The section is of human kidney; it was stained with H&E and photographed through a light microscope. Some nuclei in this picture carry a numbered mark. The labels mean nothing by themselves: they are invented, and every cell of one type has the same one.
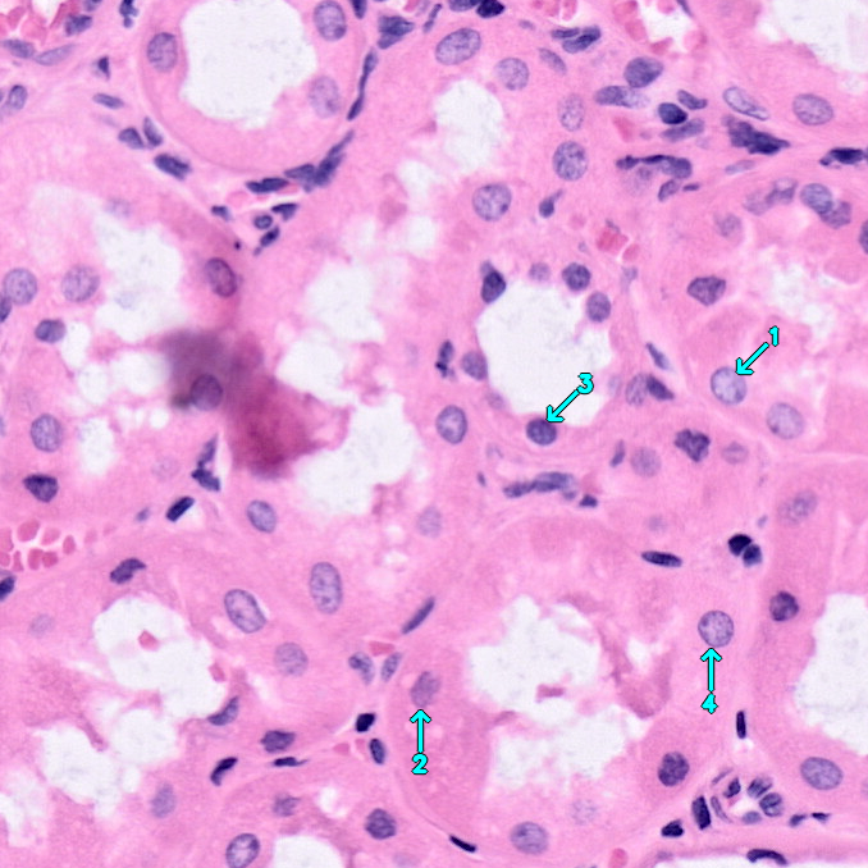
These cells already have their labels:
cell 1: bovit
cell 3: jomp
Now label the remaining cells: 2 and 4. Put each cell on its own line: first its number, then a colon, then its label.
2: bovit
4: bovit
